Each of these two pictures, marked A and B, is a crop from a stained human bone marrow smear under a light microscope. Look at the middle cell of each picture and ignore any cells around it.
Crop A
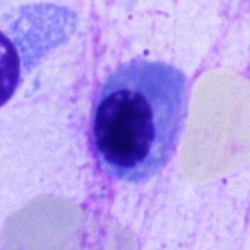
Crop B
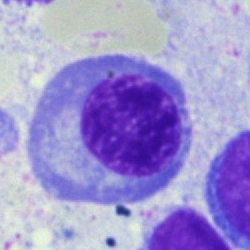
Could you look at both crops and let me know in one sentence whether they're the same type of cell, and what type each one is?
No, an erythroblast and a plasma cell are found in crop A and crop B, respectively.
